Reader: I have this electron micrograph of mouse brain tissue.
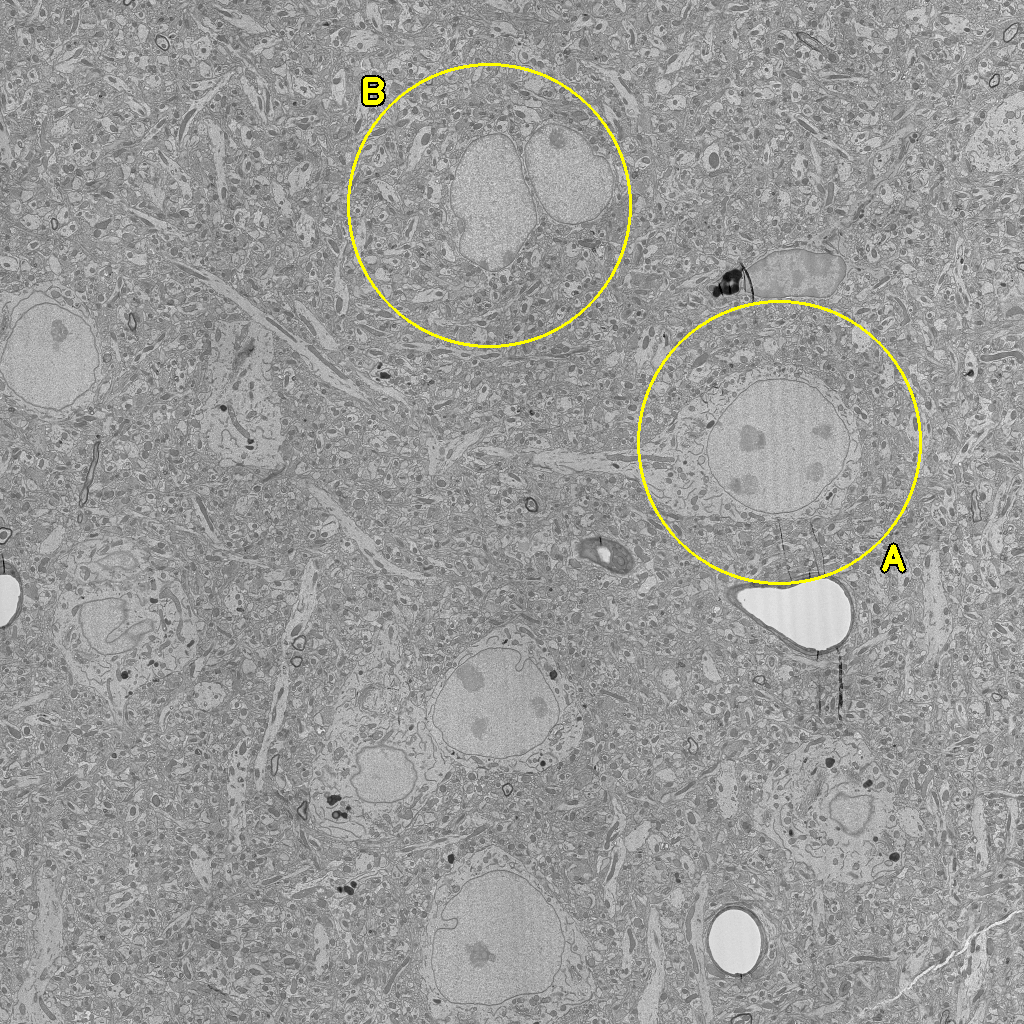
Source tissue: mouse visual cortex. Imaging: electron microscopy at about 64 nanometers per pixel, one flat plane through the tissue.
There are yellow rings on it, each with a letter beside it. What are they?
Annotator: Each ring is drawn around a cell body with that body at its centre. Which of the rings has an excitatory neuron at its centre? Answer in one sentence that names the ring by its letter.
That cell sits at the centre of ring A.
